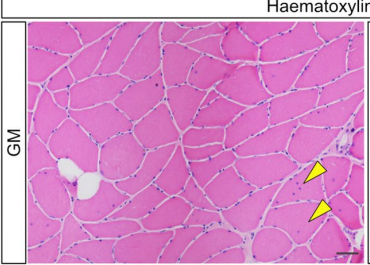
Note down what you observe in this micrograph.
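Cross-section of skeletal muscle with closely packed polygonal muscle fibers of varying size, stained pink, separated by thin pale connective tissue. Most fibers carry small dark purple nuclei at their periphery, while a few fibers show nuclei lying in their interior. An empty white space, likely a fat cell, lies between fibers at the left.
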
